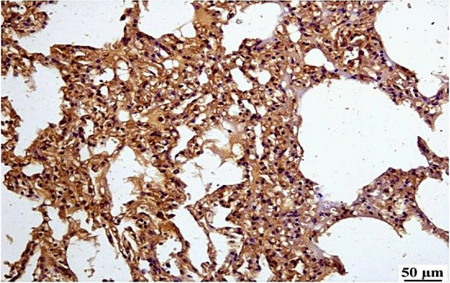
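This is lung tissue with thickened, cell-rich alveolar walls separating irregular empty air spaces. The cells within the walls are strongly stained brown, with dark nuclei among them. The walls are crowded with rounded and irregular cells, consistent with infiltrating alveolar macrophages. The air spaces are of varying size and some are enlarged.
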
